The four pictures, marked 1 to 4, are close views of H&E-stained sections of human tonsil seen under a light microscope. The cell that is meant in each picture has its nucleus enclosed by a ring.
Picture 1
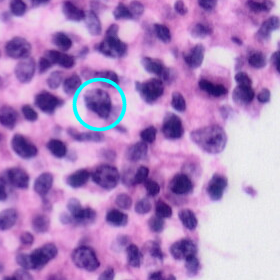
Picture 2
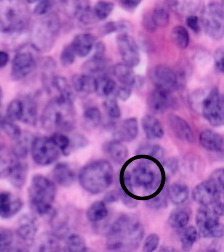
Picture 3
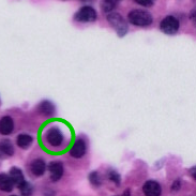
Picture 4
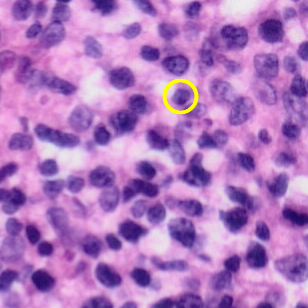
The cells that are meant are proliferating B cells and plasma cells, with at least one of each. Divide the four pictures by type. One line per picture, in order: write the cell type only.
proliferating B cell
proliferating B cell
plasma cell
proliferating B cell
